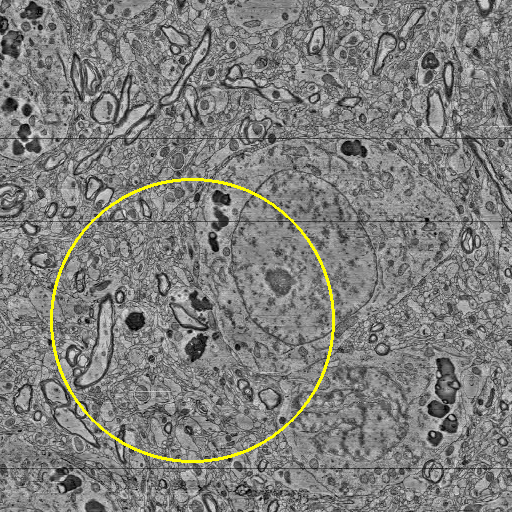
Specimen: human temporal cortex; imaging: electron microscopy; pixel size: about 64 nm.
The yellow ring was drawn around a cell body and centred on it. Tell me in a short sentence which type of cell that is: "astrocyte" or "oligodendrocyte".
The cell at the ring's centre is an oligodendrocyte.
